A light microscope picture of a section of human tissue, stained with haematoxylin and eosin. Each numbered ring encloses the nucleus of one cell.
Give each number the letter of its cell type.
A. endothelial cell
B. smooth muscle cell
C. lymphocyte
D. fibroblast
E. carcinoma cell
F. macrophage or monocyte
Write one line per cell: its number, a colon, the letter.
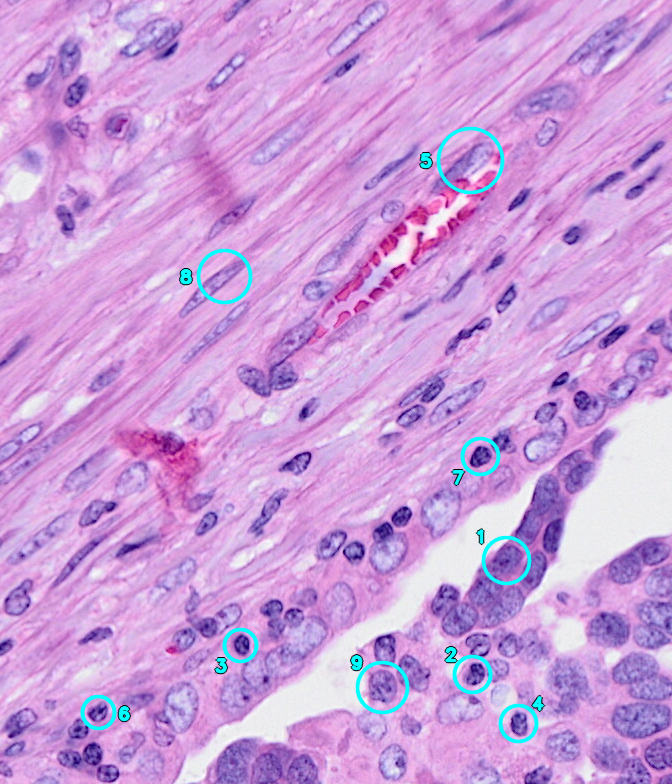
1: E
2: C
3: C
4: C
5: A
6: C
7: C
8: D
9: F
